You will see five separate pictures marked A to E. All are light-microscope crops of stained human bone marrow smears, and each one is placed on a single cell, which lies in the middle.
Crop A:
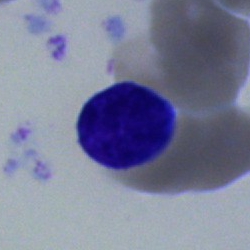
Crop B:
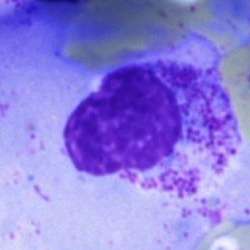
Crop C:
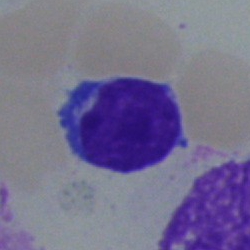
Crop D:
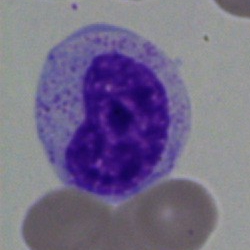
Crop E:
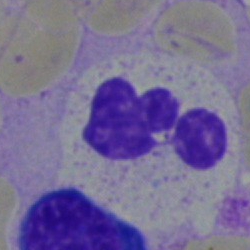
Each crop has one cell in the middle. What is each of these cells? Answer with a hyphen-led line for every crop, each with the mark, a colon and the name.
- A: lymphocyte
- B: myelocyte
- C: lymphocyte
- D: metamyelocyte
- E: segmented neutrophil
